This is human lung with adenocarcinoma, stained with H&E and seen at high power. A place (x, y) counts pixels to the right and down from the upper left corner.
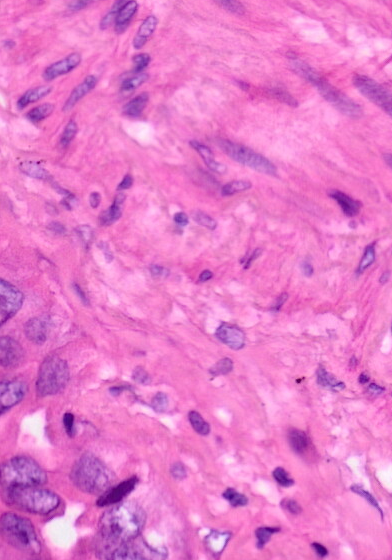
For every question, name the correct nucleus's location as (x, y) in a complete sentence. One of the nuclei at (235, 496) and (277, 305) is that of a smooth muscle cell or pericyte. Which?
The one belonging to a smooth muscle cell or pericyte is the nucleus at (277, 305), not the other.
